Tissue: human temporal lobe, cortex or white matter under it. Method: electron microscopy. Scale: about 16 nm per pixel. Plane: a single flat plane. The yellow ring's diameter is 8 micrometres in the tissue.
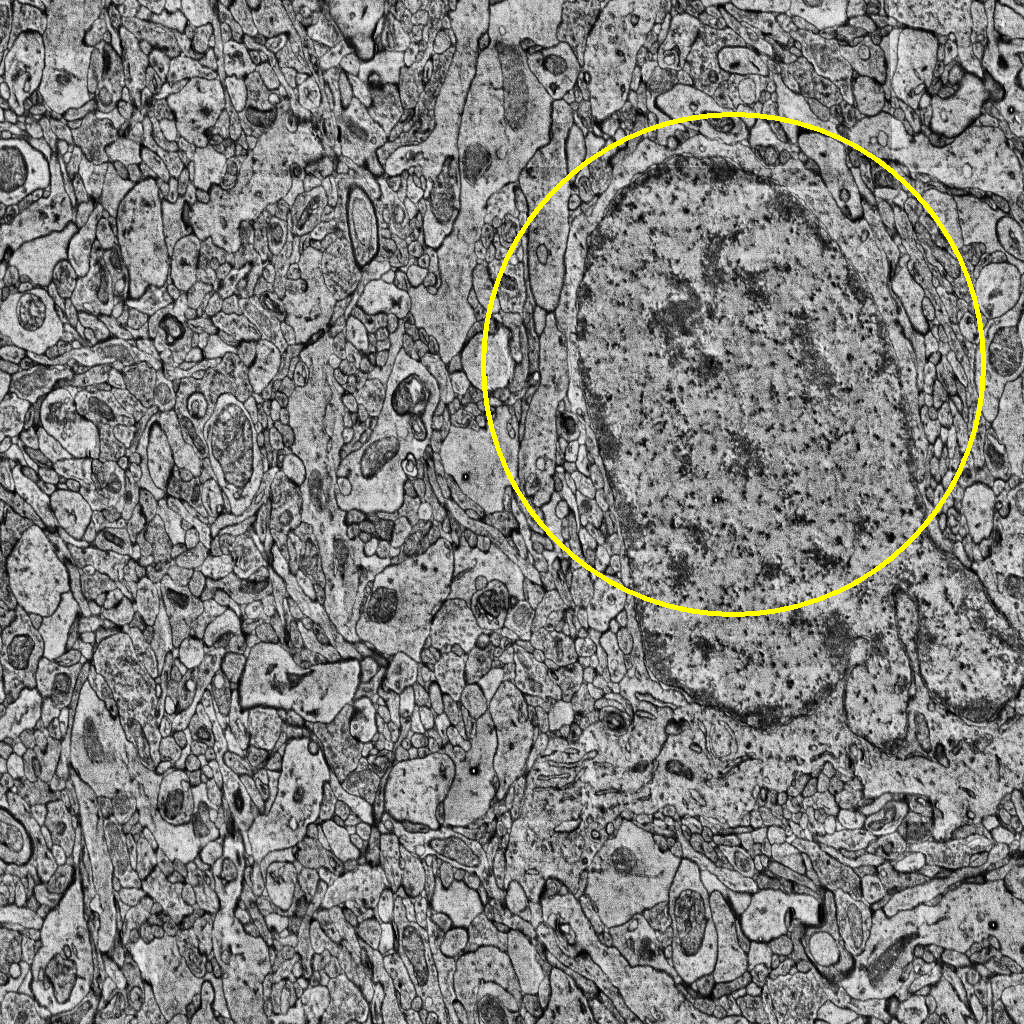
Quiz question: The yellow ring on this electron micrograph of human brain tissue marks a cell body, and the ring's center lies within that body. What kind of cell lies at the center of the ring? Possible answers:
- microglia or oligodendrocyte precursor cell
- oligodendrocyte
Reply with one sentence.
The ring's center lies on a microglial cell or oligodendrocyte precursor cell.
